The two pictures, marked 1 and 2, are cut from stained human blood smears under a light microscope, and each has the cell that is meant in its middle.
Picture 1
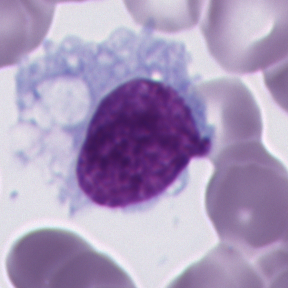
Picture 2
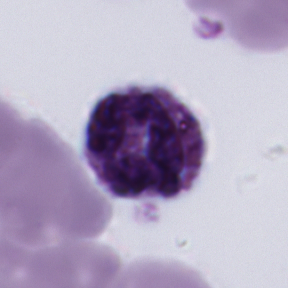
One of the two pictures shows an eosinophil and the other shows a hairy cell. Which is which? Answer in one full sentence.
It is picture 1 that shows a hairy cell, and picture 2 that shows an eosinophil.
